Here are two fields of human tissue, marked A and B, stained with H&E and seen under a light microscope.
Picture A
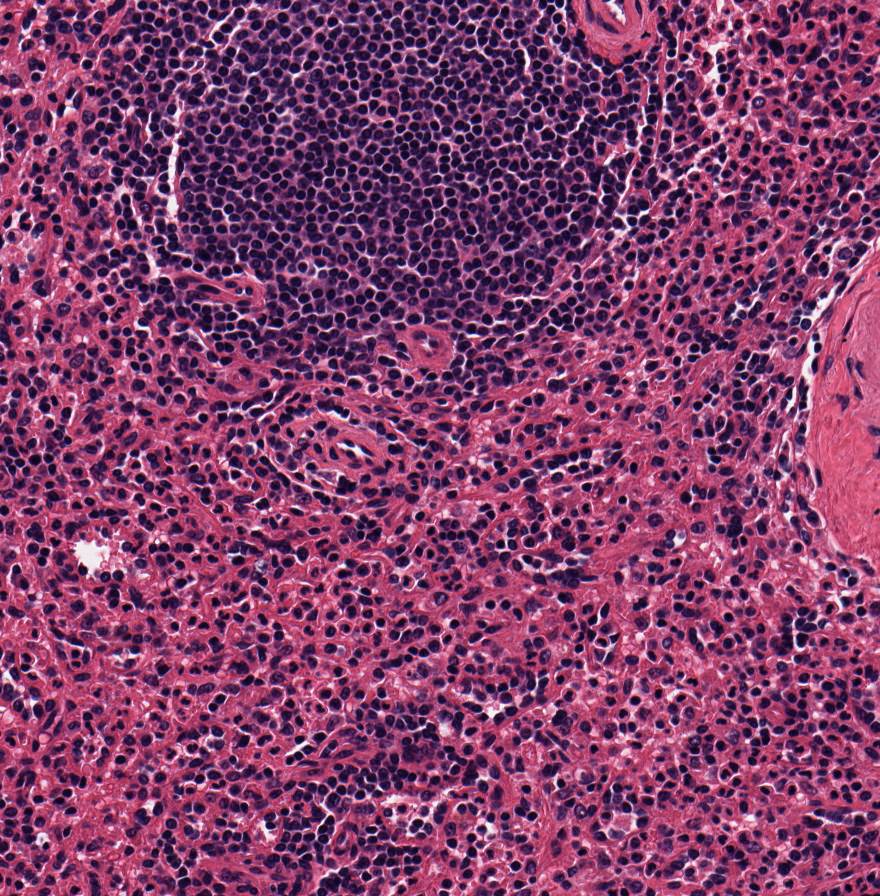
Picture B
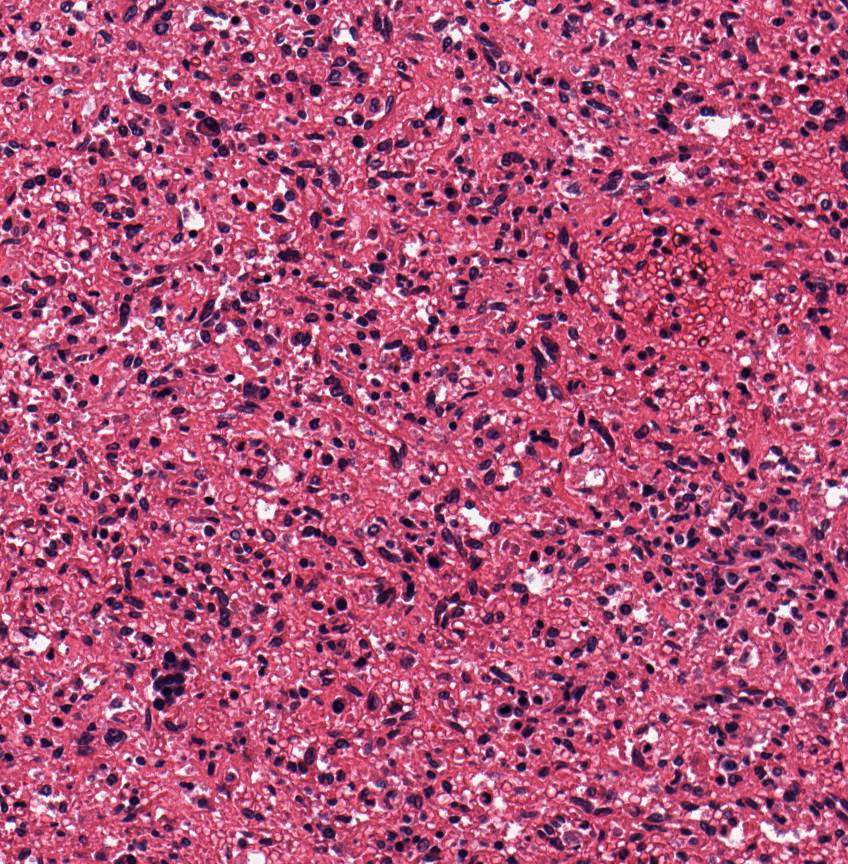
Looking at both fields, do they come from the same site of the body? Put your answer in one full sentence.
Yes, both come from the spleen.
